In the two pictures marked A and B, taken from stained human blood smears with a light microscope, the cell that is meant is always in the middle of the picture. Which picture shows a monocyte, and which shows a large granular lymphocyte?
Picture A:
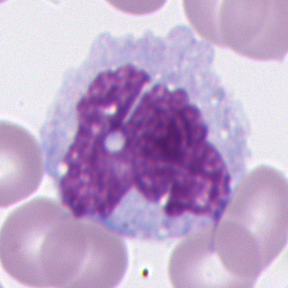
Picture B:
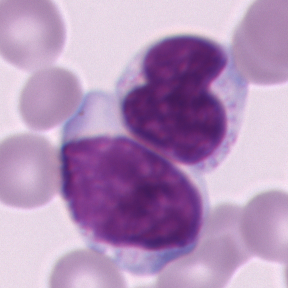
A: monocyte
B: large granular lymphocyte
